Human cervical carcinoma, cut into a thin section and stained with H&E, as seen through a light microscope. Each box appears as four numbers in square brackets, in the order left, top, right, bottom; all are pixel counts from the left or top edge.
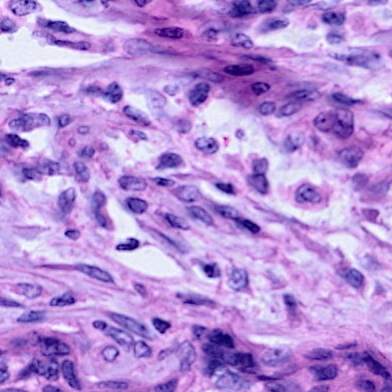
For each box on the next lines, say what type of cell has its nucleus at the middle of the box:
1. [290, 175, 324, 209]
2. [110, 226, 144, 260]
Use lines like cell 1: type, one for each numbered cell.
cell 1: macrophage or monocyte
cell 2: lymphocyte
